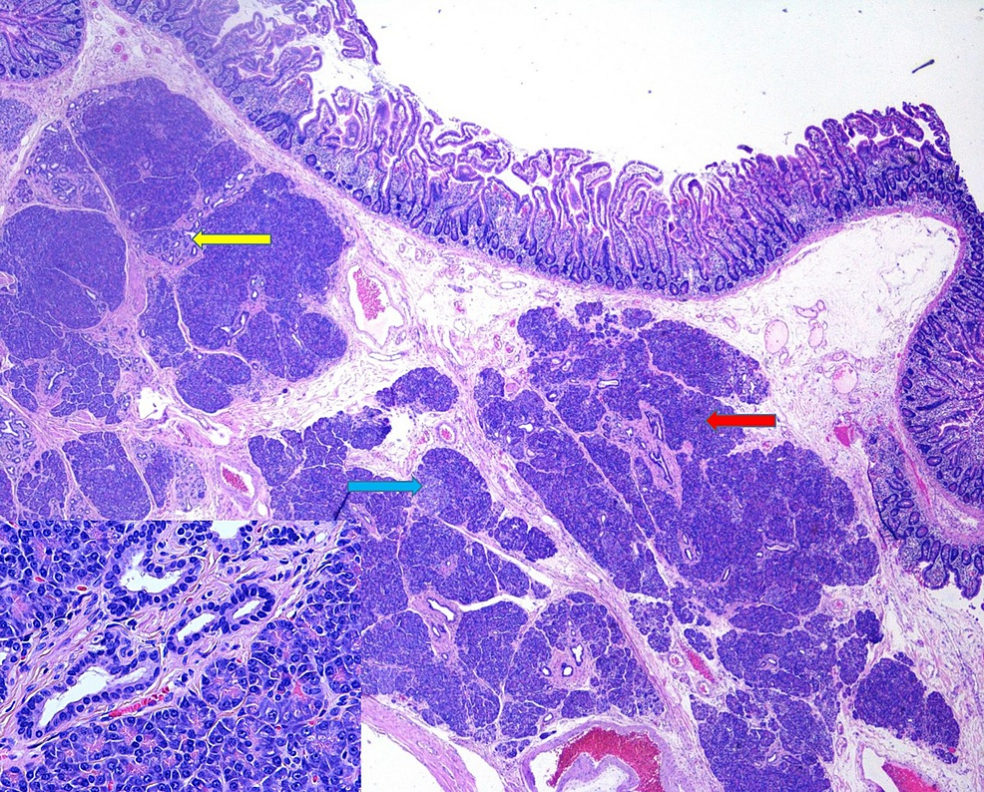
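The section shows the wall of small intestine with a mucosa of long villi along the top and lobules of pancreatic tissue lying in the submucosa beneath it. The pancreatic tissue is divided into rounded and elongated lobules by thin pink fibrous septa, and it stains densely purple. Within the lobules, closely packed acini are interspersed with scattered ducts that appear as small tubular profiles with open lumens. Loose pink connective tissue with blood vessels lies between the mucosa and the lobules. In the high-power inset, ducts lined by a single layer of cuboidal cells with open lumens lie in fibrous stroma next to acini made of cells with basal dark nuclei and granular cytoplasm.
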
